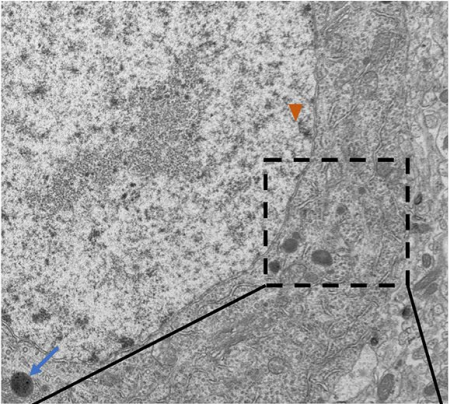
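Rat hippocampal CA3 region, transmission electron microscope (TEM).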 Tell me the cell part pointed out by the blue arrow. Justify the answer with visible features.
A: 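Lysosome. The arrow points to a small round dark body with a membrane outline in the cytoplasm.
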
